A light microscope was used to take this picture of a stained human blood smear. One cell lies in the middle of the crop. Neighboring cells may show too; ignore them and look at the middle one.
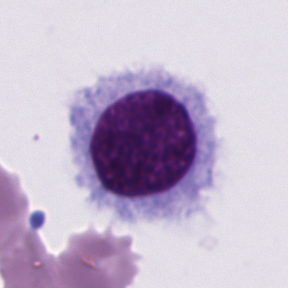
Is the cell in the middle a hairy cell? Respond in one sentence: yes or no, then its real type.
Yes, the middle cell of the field is a hairy cell.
